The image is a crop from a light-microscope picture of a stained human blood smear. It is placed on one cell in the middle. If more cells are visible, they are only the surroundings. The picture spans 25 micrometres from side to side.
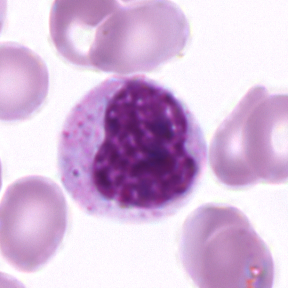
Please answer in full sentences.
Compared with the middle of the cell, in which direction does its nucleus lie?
The nucleus lies toward the right of the cell.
